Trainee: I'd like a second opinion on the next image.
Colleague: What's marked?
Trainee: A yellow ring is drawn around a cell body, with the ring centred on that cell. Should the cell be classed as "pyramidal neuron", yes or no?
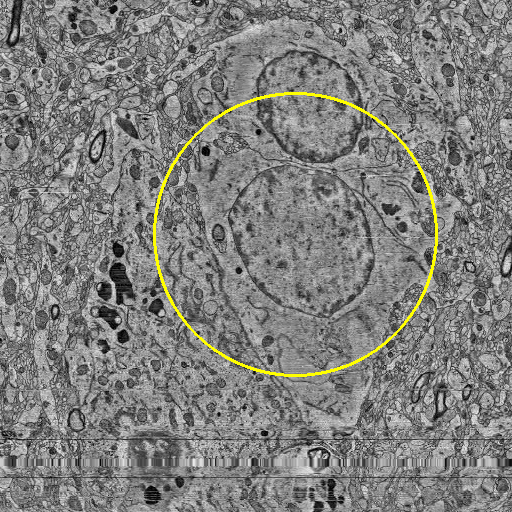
No, it should be classed as another kind.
